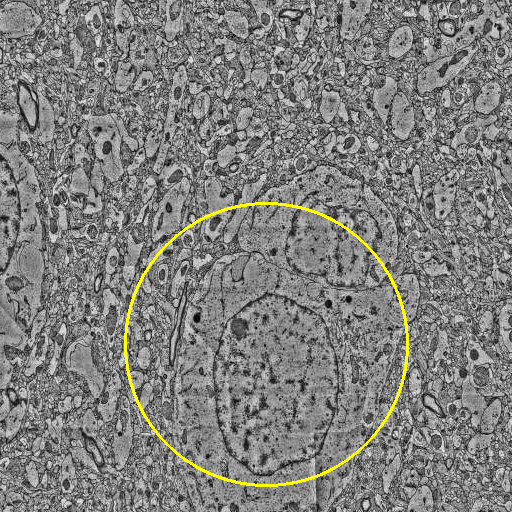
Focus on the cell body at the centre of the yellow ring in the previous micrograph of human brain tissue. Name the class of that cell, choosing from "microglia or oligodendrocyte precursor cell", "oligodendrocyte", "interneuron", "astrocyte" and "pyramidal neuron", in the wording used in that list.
pyramidal neuron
